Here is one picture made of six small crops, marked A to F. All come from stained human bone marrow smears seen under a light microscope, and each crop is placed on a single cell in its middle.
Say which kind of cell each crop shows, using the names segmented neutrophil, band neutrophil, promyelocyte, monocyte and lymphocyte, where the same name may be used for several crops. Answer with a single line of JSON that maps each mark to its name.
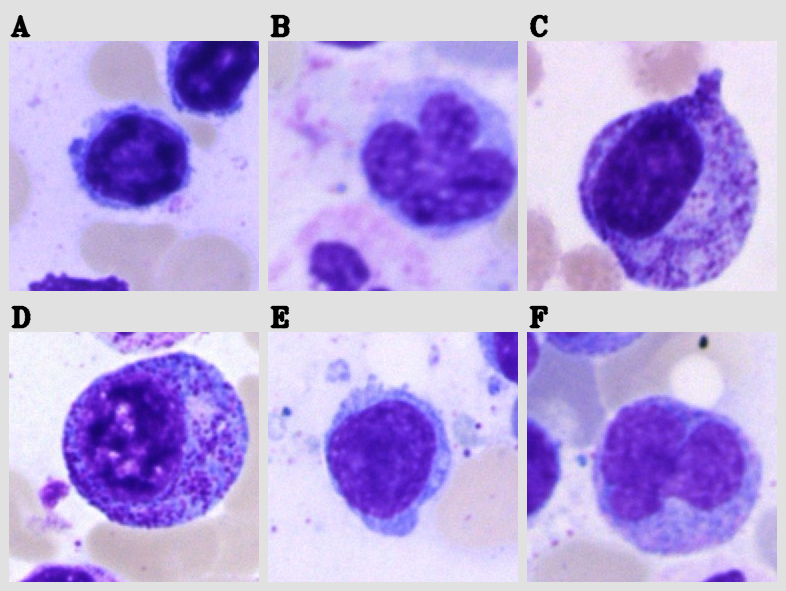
{"A": "lymphocyte", "B": "monocyte", "C": "promyelocyte", "D": "promyelocyte", "E": "lymphocyte", "F": "monocyte"}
